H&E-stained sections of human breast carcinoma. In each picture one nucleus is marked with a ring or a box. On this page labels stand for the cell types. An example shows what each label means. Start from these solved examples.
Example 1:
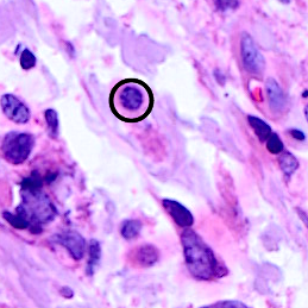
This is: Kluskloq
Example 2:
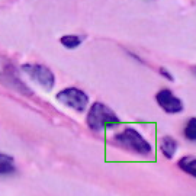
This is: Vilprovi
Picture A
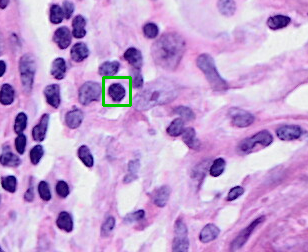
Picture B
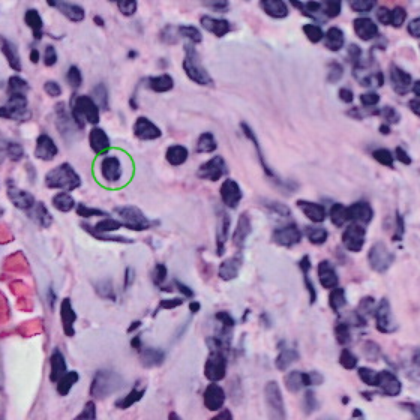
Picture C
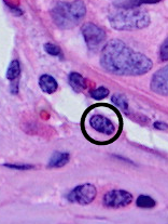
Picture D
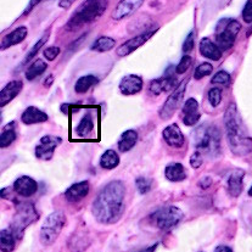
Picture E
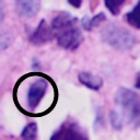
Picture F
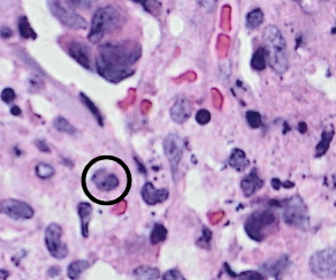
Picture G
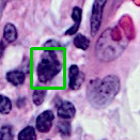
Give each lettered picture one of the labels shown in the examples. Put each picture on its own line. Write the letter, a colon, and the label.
A: Vilprovi
B: Vilprovi
C: Kluskloq
D: Vilprovi
E: Vilprovi
F: Kluskloq
G: Vilprovi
